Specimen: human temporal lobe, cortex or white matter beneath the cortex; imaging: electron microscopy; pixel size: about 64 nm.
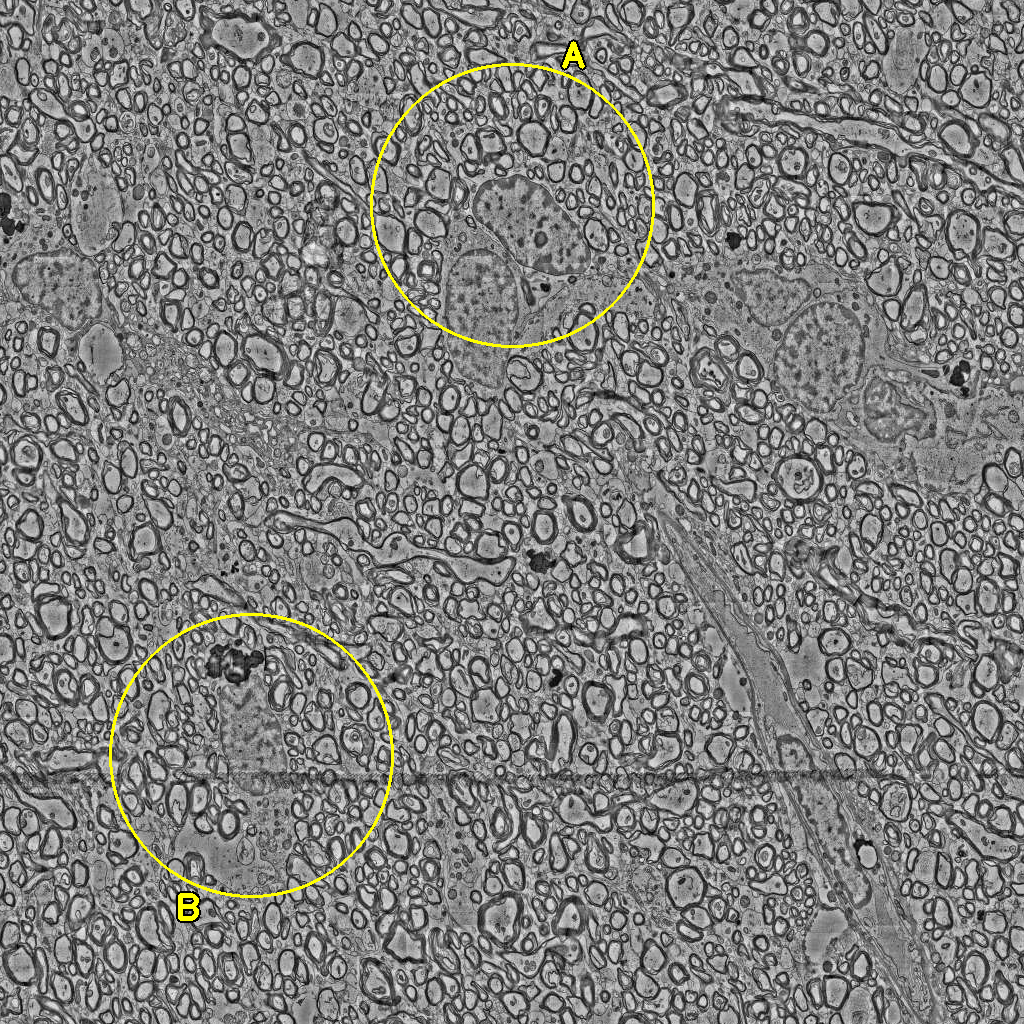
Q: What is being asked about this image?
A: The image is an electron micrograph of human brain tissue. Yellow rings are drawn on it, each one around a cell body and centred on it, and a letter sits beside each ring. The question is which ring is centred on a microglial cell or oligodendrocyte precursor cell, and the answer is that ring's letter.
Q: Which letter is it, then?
A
